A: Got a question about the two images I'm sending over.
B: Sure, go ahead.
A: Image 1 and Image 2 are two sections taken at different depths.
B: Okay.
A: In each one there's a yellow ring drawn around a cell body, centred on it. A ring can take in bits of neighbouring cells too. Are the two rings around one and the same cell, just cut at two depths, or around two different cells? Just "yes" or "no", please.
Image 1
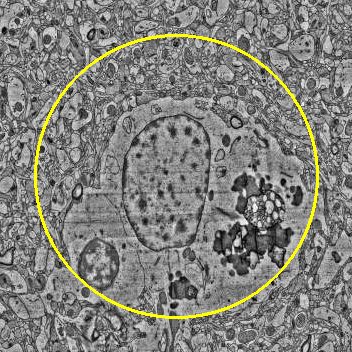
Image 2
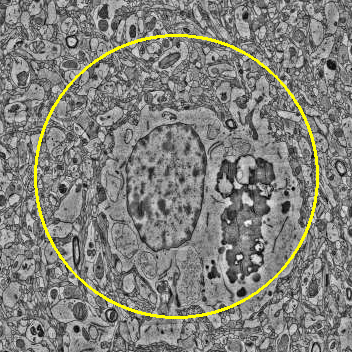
yes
